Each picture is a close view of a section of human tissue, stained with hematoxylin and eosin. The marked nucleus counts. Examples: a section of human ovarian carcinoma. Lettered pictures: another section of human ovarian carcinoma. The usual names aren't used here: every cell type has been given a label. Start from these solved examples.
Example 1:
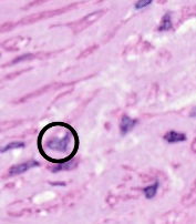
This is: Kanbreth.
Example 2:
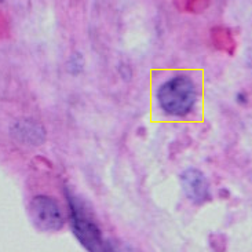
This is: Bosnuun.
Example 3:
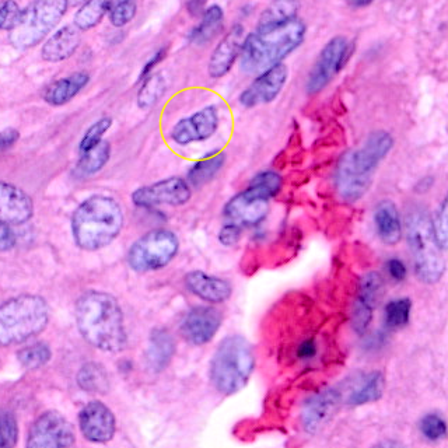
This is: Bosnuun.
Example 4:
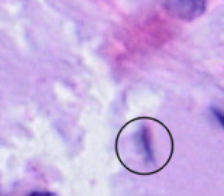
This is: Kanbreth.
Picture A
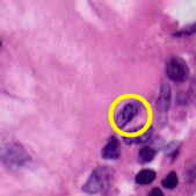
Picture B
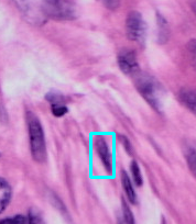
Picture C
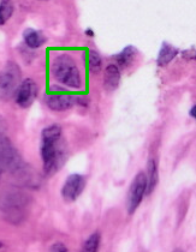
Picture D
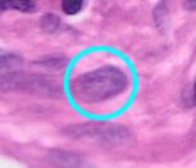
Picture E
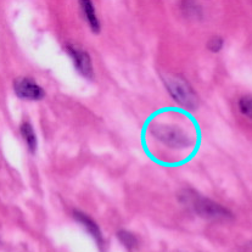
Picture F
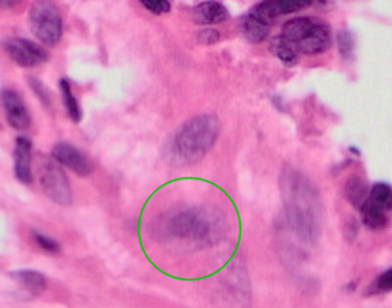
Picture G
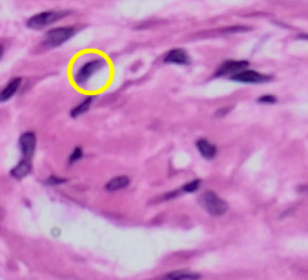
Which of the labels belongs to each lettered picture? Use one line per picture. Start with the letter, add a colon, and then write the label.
A: Bosnuun.
B: Kanbreth.
C: Bosnuun.
D: Kanbreth.
E: Kanbreth.
F: Kanbreth.
G: Kanbreth.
